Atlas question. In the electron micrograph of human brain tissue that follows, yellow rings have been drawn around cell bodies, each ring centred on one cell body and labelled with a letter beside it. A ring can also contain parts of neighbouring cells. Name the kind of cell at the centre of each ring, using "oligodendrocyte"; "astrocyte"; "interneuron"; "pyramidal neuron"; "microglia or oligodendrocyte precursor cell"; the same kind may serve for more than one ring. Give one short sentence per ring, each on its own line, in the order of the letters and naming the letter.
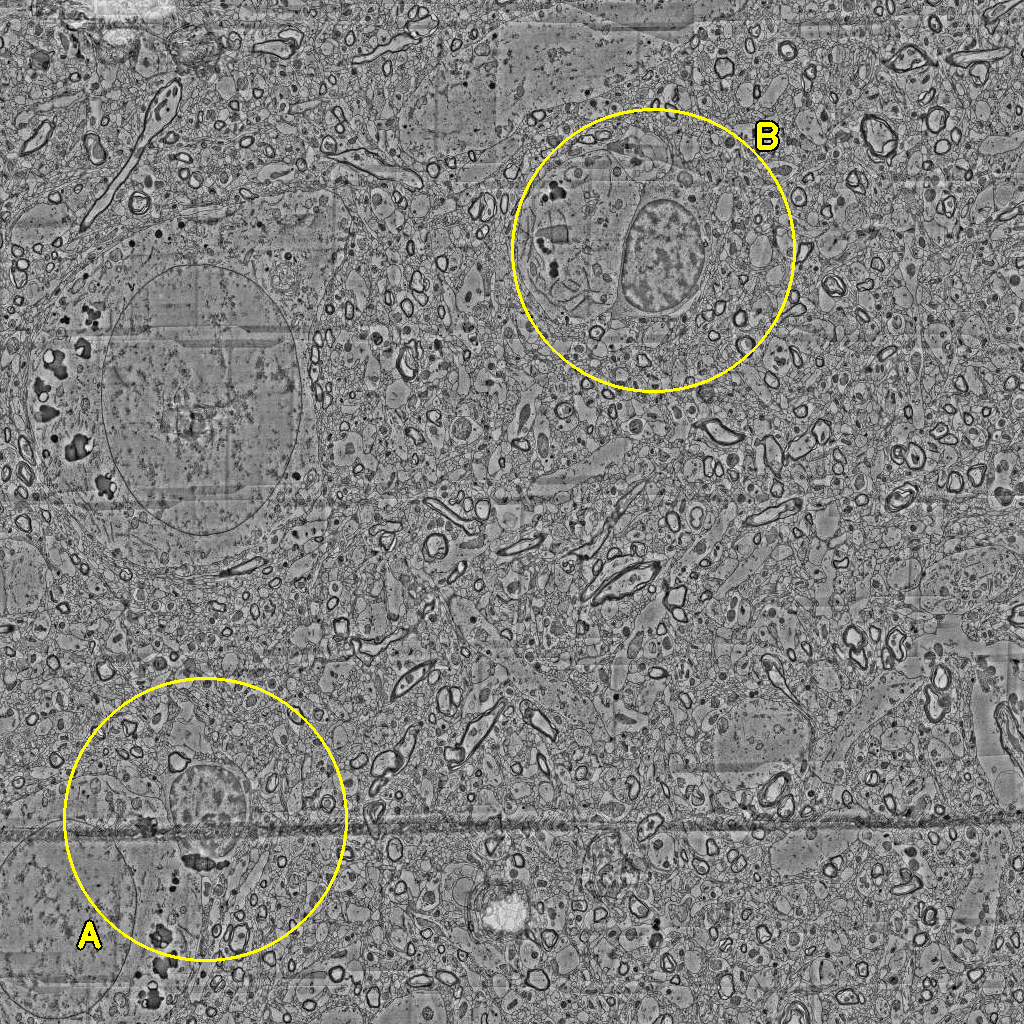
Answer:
For ring A, the cell at the centre is an oligodendrocyte.
For ring B, the cell at the centre is an oligodendrocyte.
